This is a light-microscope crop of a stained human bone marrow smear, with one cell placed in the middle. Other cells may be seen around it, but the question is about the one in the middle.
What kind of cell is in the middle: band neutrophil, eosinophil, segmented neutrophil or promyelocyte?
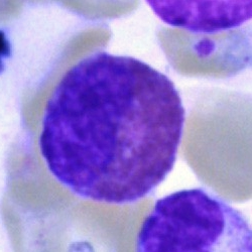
eosinophil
